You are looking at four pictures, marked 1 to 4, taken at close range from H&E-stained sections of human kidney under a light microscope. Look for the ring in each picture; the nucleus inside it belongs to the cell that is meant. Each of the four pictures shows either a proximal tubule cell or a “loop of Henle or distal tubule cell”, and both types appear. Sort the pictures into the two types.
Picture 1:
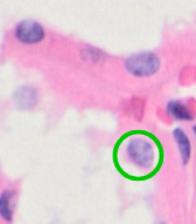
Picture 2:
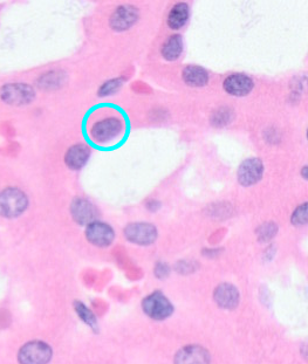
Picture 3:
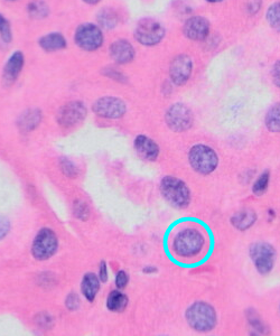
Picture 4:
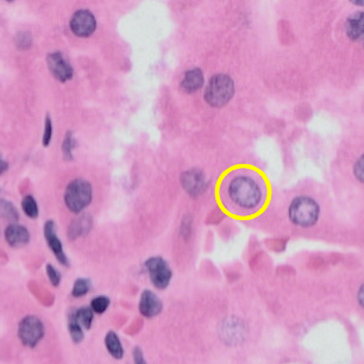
1: loop of Henle or distal tubule cell
2: loop of Henle or distal tubule cell
3: loop of Henle or distal tubule cell
4: proximal tubule cell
